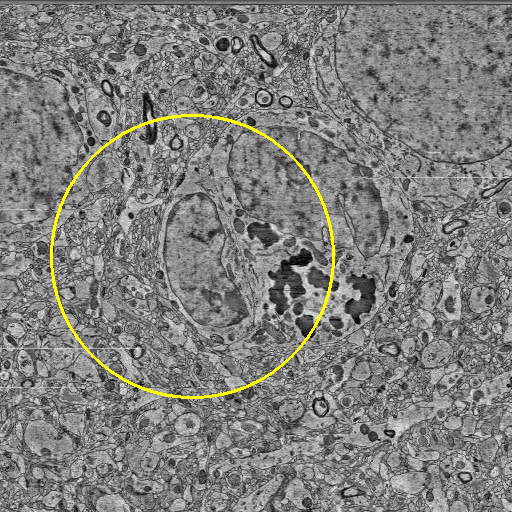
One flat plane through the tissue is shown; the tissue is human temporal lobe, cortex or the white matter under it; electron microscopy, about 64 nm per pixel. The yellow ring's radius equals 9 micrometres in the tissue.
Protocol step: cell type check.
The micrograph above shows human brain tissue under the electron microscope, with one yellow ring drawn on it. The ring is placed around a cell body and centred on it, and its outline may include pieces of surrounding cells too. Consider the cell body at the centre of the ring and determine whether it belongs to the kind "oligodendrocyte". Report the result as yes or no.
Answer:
no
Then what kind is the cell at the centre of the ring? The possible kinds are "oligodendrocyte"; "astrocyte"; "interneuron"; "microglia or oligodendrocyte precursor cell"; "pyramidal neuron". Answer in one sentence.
It is a microglial cell or oligodendrocyte precursor cell at the centre of the ring.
